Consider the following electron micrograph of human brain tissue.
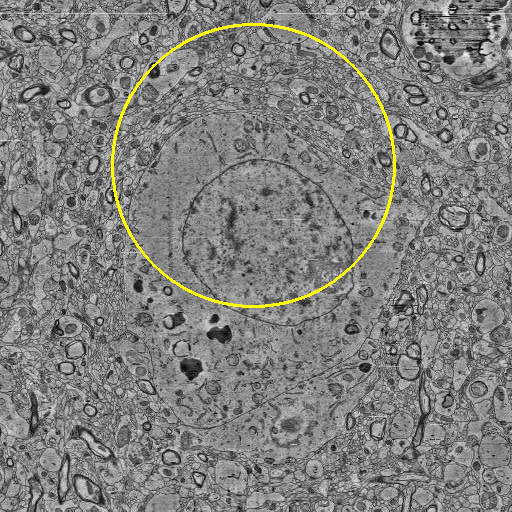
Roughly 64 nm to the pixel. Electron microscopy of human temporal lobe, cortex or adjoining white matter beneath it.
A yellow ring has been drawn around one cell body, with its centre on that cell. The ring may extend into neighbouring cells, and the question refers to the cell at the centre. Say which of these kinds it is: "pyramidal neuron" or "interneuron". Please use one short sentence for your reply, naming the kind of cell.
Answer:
The centre of the ring falls on a pyramidal neuron.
